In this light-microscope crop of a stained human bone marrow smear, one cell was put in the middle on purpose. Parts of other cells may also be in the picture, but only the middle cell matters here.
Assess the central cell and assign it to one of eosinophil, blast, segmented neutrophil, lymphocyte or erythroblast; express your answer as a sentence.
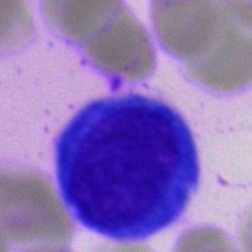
Whatever else lies nearby, the middle cell is a blast.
